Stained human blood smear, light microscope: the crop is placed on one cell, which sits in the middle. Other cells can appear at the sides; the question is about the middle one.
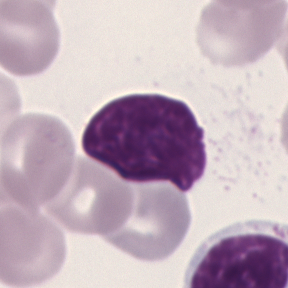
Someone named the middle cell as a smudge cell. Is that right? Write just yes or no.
yes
